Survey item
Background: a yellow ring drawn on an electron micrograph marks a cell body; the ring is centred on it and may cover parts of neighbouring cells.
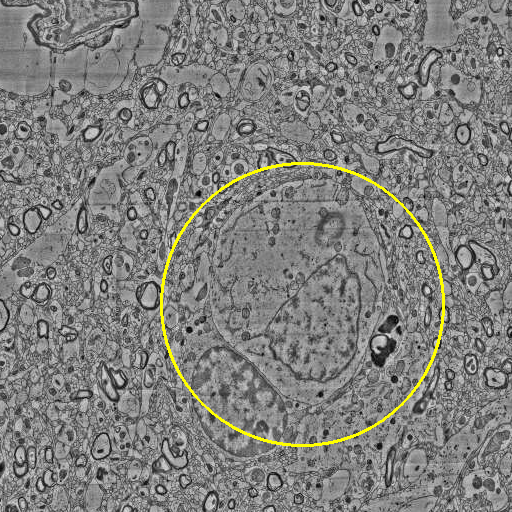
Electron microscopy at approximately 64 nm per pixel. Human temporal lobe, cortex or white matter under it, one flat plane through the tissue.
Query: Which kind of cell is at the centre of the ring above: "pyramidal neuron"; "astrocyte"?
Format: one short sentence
The cell in the middle of the ring is a pyramidal neuron.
